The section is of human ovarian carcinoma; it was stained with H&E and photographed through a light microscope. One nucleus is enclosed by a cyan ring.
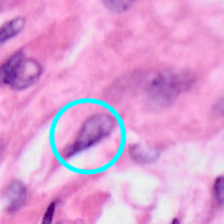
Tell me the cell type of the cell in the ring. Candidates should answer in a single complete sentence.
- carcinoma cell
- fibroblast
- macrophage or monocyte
In this section of tissue, the cell in the ring is a fibroblast.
